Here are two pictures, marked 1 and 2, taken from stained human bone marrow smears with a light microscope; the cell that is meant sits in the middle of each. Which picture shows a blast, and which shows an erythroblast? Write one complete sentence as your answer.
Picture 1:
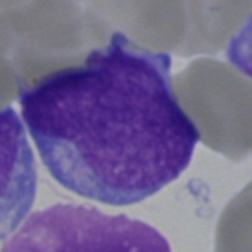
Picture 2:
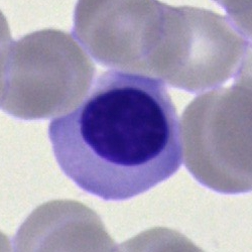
In picture 1 the cell is a blast; in picture 2, an erythroblast.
